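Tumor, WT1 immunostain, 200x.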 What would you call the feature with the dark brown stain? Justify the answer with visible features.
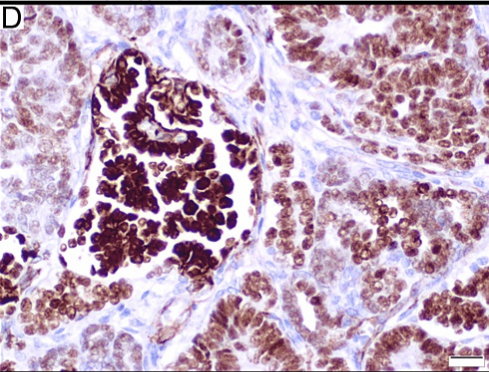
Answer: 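Immature glomeruli. A rounded cluster of cells with very dark brown nuclei lying in a space. Brown nuclear stain also in surrounding epithelial nests. Stroma between nests largely unstained blue.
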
